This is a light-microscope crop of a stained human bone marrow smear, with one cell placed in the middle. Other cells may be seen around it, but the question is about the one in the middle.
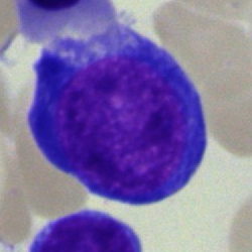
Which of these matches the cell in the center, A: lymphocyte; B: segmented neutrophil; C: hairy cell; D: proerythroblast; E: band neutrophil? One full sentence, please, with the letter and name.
Since the cell in the middle is a proerythroblast, option D is correct.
